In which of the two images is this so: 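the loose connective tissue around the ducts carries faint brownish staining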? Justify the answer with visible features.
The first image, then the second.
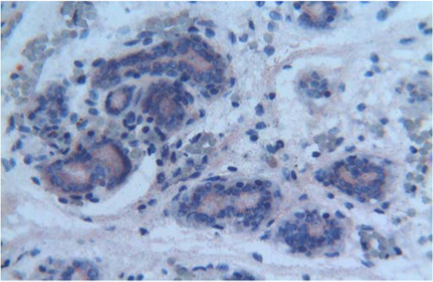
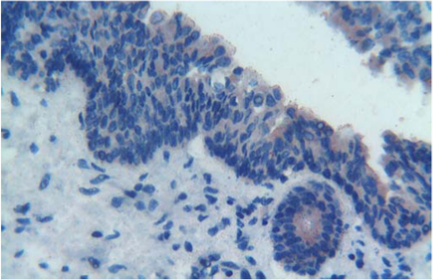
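The first image. Second image: the stroma around the epithelium is pale blue-grey without brown tint. First image: the stroma between the ducts has a faint pink-brown tint.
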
